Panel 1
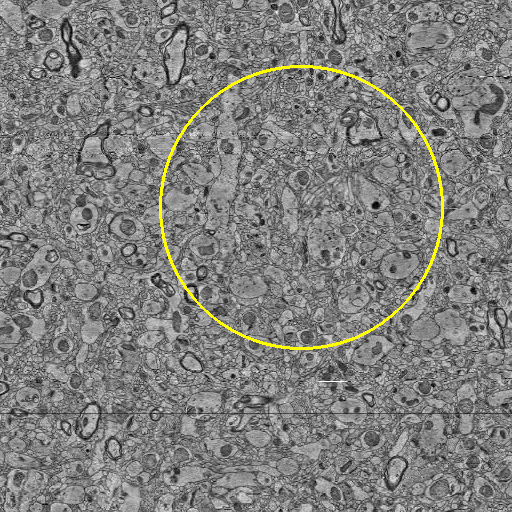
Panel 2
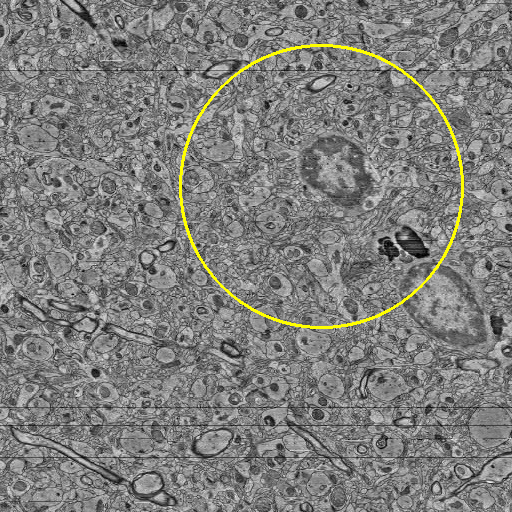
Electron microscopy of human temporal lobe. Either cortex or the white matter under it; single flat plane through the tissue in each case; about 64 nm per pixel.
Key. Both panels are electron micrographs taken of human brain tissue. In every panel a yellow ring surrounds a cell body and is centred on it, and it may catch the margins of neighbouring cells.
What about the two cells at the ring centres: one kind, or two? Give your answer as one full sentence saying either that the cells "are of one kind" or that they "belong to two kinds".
Across Panels 1 and 2, the two cells at the ring centres belong to two kinds.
